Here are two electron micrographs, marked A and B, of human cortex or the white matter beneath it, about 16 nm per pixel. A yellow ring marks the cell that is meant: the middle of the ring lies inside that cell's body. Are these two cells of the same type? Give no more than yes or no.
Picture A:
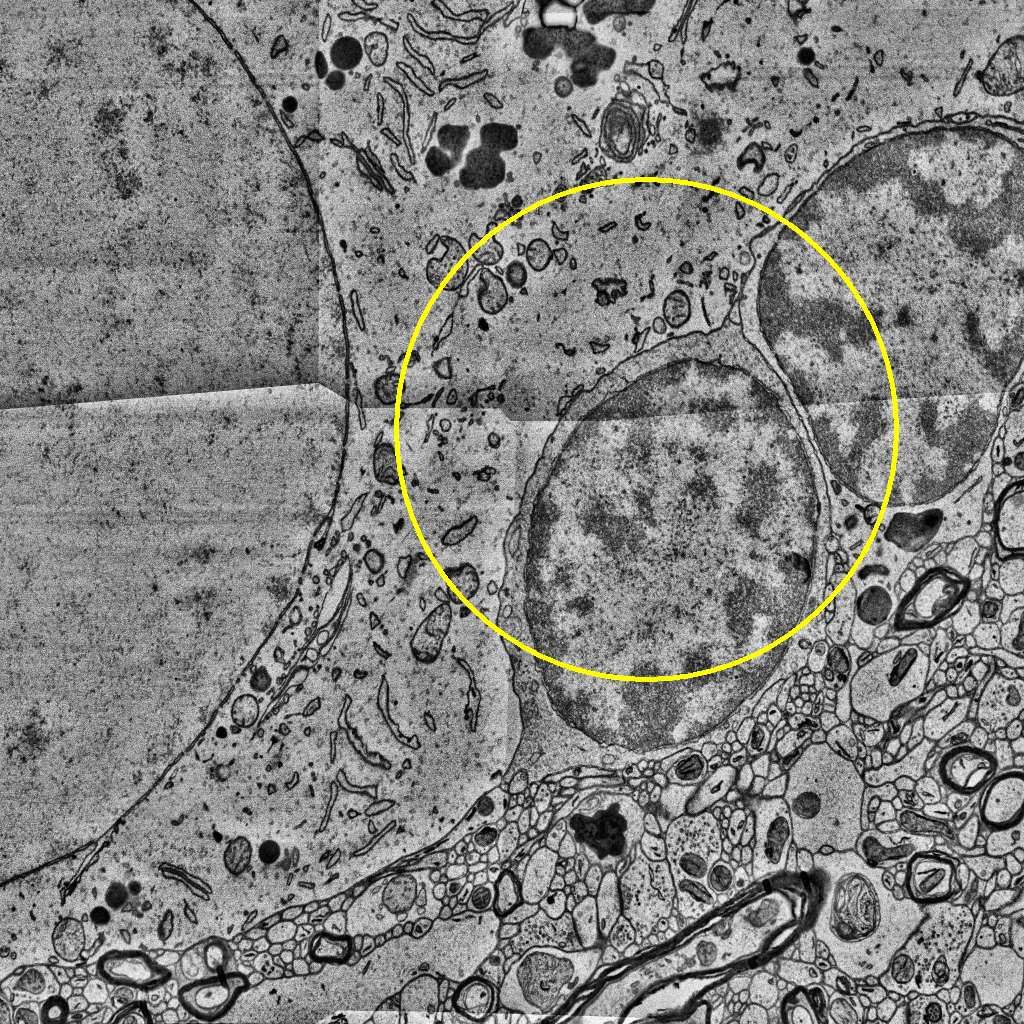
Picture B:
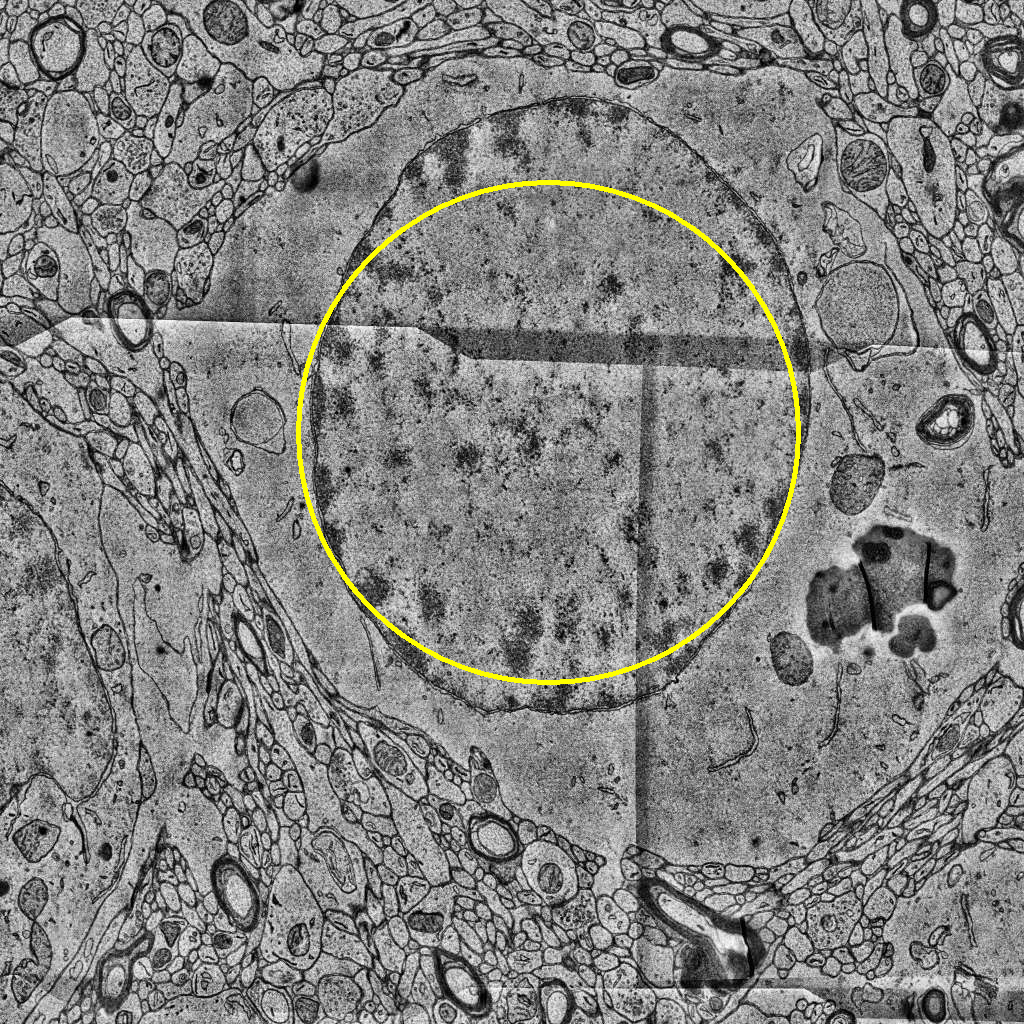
no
